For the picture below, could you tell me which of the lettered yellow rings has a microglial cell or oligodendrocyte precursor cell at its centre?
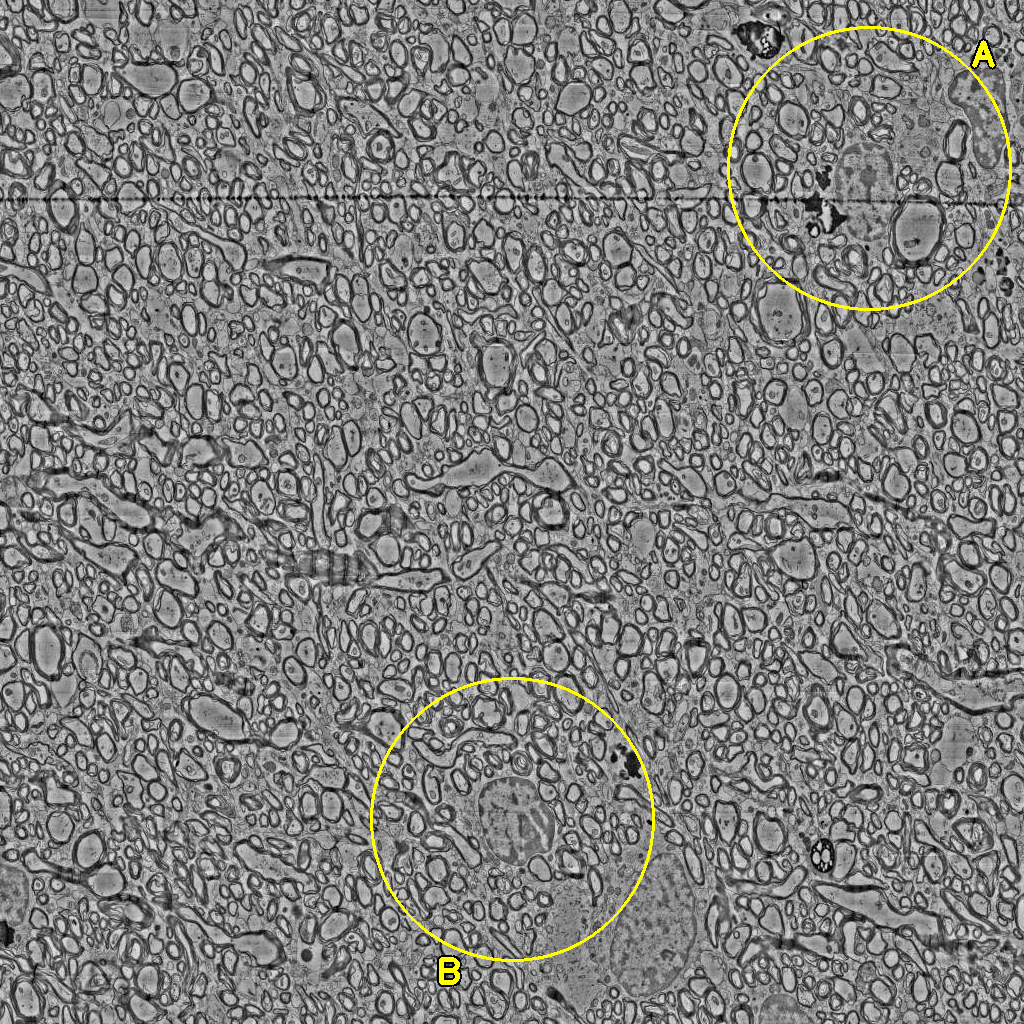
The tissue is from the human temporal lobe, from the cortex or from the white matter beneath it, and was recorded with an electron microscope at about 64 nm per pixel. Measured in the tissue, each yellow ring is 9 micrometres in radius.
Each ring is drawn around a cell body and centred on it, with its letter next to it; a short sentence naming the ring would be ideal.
Ring B is centred on it.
